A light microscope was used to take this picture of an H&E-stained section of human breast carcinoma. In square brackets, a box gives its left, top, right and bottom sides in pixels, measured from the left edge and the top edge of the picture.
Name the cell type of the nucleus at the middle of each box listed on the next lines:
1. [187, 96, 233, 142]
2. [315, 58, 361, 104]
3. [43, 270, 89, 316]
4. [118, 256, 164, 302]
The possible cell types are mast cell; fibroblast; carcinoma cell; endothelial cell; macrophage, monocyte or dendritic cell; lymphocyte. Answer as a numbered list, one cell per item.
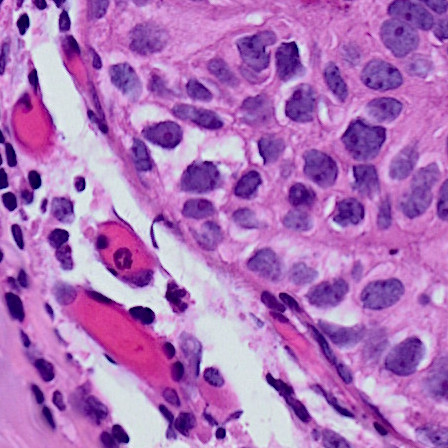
1. carcinoma cell
2. carcinoma cell
3. endothelial cell
4. endothelial cell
